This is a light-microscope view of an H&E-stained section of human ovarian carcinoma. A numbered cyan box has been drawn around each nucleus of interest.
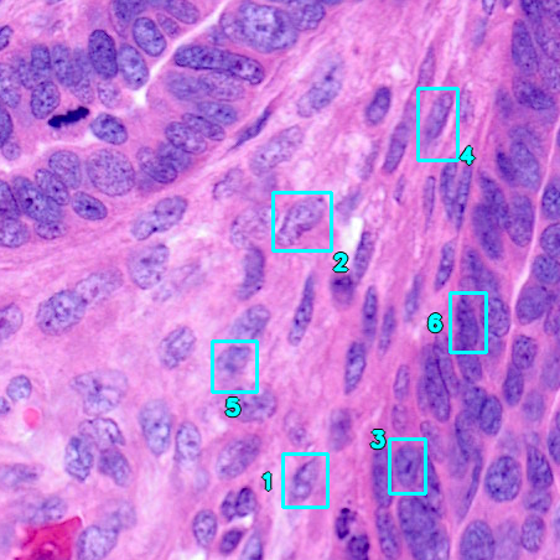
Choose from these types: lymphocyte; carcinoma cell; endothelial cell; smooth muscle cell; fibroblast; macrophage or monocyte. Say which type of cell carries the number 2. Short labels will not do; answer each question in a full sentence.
Heads up, the cell numbered 2 is a fibroblast.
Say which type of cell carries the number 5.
Numbered cell 5 is a fibroblast in this tissue section.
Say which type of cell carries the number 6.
The cell tagged with 6 in this tissue section is a carcinoma cell.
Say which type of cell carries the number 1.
The numbered cell 1 in this field is a fibroblast.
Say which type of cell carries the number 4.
Among the marked cells, number 4 is a fibroblast.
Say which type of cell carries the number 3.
The cell pointed out as number 3 is a carcinoma cell.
